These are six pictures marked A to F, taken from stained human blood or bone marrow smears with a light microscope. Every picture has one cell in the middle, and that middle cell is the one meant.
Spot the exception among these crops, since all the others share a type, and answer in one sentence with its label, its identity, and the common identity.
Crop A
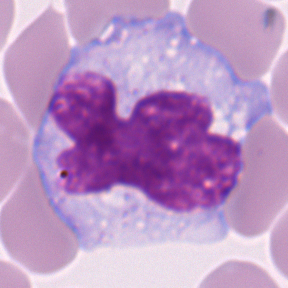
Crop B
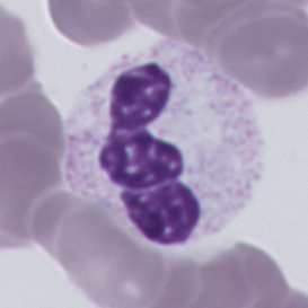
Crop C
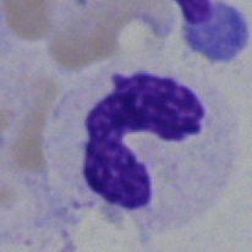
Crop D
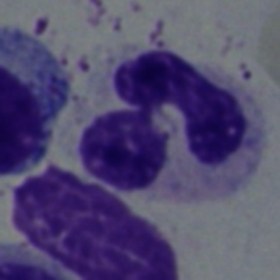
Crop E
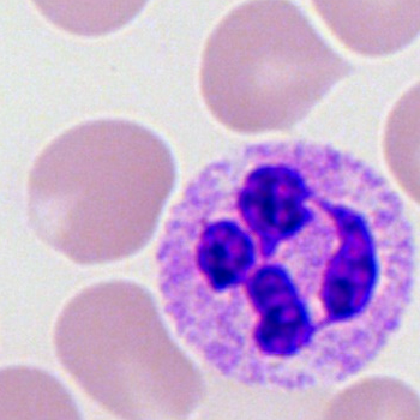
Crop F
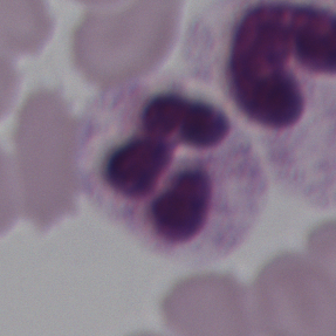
Whereas the other crops all show neutrophils, crop A shows a monocyte.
